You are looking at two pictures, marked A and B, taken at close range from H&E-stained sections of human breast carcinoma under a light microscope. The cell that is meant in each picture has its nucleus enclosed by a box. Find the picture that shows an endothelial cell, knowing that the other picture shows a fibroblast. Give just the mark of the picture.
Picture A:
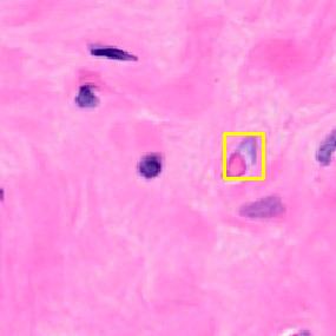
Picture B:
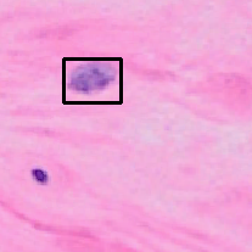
A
